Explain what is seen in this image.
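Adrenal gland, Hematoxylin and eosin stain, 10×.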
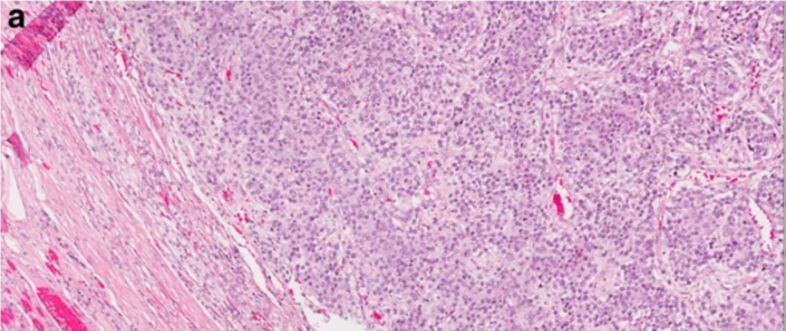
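The right portion of the section is occupied by tumor tissue: densely packed cells with round purple nuclei and modest pink cytoplasm, arranged in solid sheets and nests separated by thin fibrovascular septa carrying small blood vessels. Along the left edge lies a narrow band of pink, compressed, streaming tissue with elongated nuclei and congested vessels, forming a rim around the cellular mass.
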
